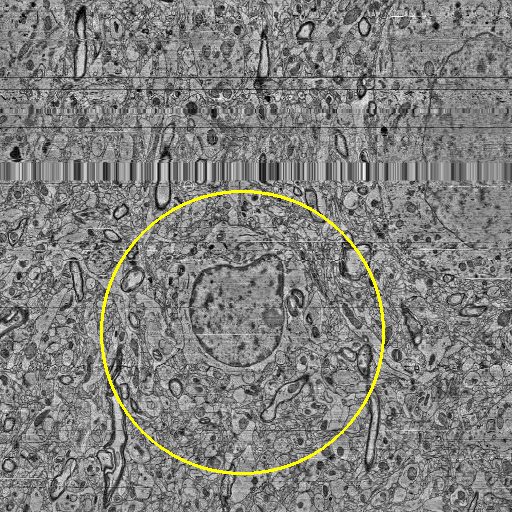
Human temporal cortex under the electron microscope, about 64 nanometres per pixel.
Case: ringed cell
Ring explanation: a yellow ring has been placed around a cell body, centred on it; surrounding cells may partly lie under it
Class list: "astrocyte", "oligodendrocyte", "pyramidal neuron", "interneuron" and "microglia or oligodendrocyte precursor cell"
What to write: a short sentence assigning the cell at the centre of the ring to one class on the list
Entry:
The cell at the ring's centre is a microglial cell or oligodendrocyte precursor cell.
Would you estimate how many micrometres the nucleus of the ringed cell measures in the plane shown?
Roughly 8 by 6 micrometres in this plane, for the nucleus of the ringed cell.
